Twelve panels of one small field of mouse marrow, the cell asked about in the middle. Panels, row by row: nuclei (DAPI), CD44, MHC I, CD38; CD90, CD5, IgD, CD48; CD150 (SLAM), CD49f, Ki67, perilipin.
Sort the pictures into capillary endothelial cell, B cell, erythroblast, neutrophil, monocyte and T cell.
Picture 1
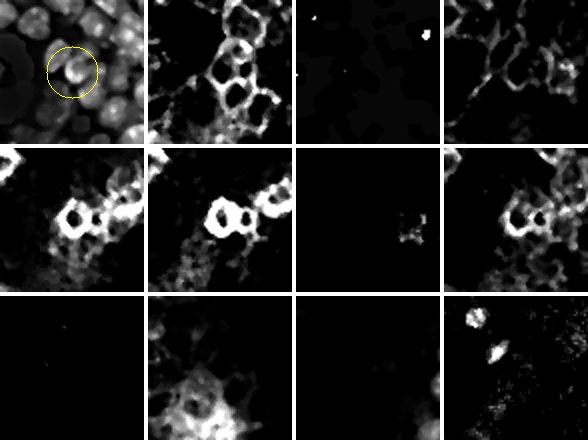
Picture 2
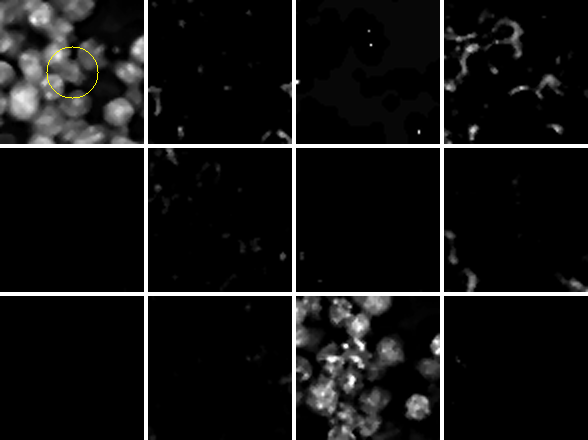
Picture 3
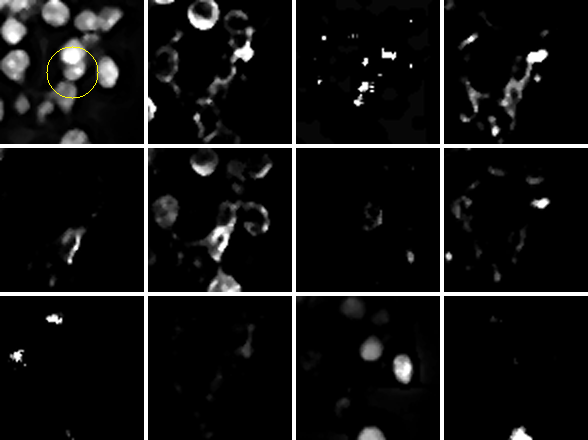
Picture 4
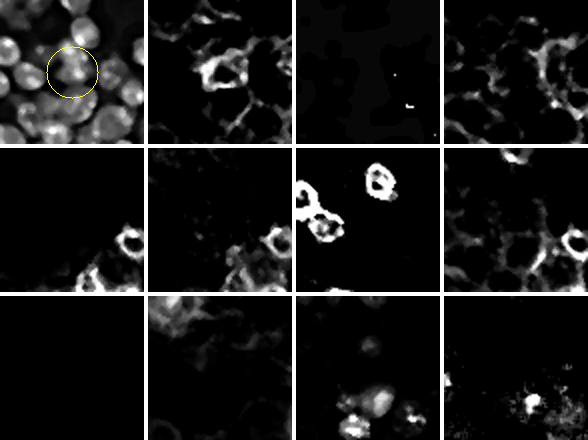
T cells: 1
Erythroblasts: 2
B cells: 3
Neutrophils: 4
